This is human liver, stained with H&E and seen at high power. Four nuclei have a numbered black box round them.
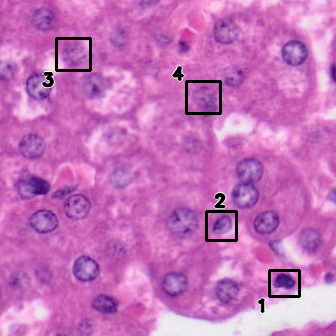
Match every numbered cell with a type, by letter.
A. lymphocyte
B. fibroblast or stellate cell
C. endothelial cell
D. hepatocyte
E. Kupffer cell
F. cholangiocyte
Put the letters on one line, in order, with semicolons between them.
A; C; D; D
